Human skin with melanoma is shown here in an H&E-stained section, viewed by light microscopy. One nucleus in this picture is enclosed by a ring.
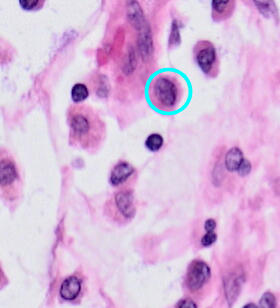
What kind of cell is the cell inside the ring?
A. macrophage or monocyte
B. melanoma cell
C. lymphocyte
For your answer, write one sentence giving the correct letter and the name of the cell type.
Option A is the correct one, since the cell inside the ring is a macrophage or monocyte.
